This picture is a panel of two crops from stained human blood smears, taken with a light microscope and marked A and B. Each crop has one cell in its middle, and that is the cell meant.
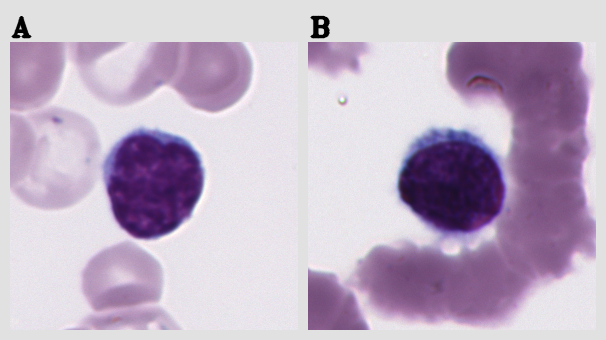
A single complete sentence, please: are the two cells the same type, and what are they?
No, in crop B the central cell is a hairy cell, and in crop A it is a typical lymphocyte.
